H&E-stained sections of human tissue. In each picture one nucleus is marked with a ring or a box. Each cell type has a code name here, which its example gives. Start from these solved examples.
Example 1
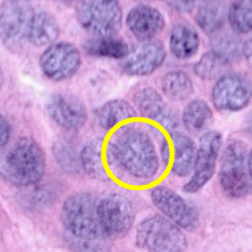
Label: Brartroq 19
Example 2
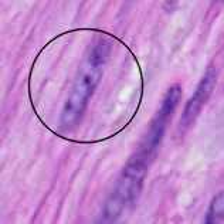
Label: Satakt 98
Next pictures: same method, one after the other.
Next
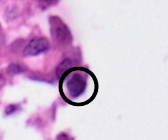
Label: Brartroq 19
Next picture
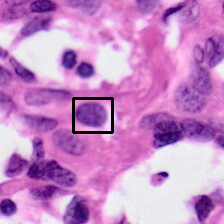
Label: Brartroq 19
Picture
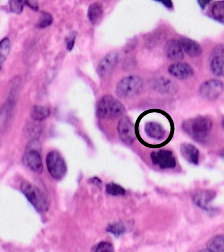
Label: Brartroq 19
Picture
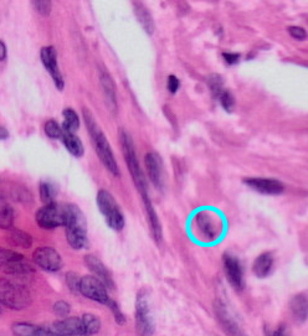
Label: Satakt 98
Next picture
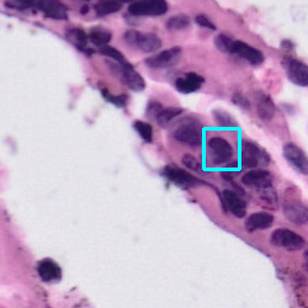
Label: Brartroq 19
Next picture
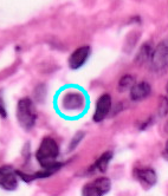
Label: Brartroq 19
